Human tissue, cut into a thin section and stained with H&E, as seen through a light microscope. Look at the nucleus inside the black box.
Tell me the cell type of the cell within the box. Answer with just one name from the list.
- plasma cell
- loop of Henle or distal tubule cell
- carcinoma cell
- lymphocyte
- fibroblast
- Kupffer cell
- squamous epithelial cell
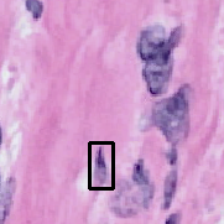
fibroblast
